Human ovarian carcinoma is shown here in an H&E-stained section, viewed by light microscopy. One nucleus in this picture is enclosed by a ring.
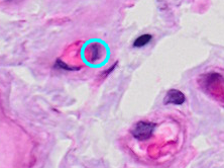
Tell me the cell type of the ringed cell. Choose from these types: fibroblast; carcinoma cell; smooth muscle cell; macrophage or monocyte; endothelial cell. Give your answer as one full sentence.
In this field of tissue, the ringed cell is an endothelial cell.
